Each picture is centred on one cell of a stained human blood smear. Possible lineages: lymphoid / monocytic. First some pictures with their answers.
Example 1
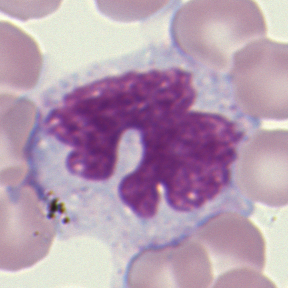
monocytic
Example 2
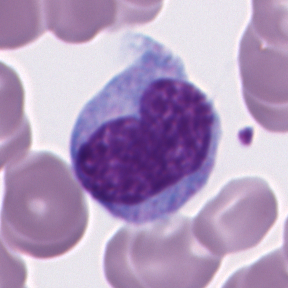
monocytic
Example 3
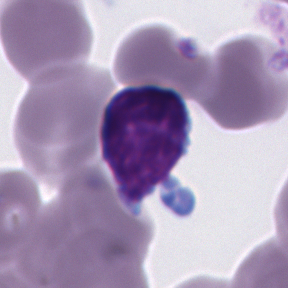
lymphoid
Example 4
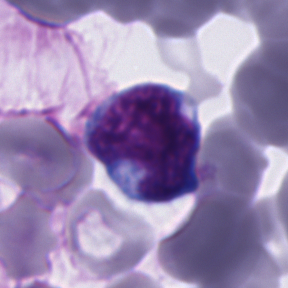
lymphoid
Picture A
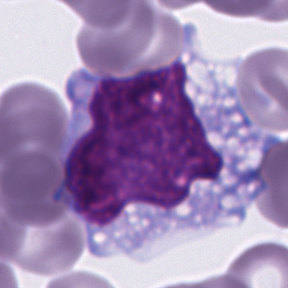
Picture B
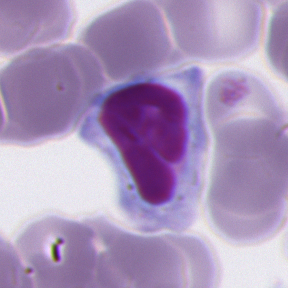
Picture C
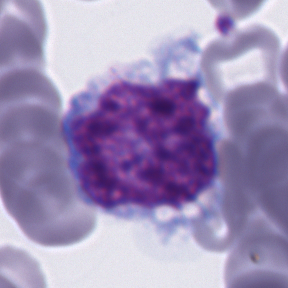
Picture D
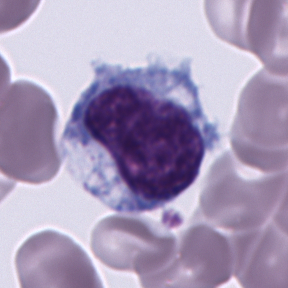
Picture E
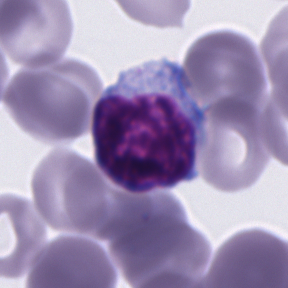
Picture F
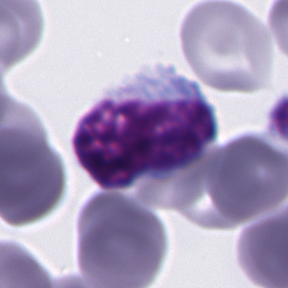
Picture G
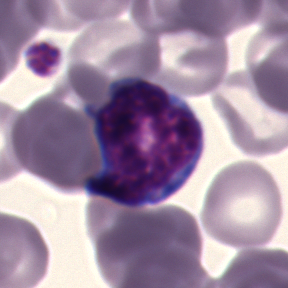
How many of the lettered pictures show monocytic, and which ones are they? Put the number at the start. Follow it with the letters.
3: A, C, D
